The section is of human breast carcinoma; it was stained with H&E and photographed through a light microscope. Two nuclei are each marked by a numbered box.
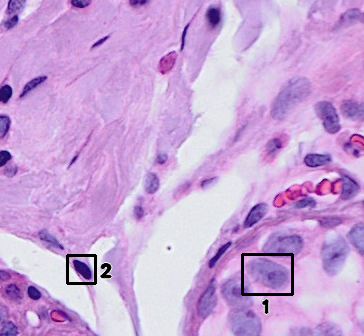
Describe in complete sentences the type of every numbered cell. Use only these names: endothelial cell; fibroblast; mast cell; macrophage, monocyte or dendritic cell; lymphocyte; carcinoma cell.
Cell 1 is a carcinoma cell and cell 2 is a lymphocyte.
